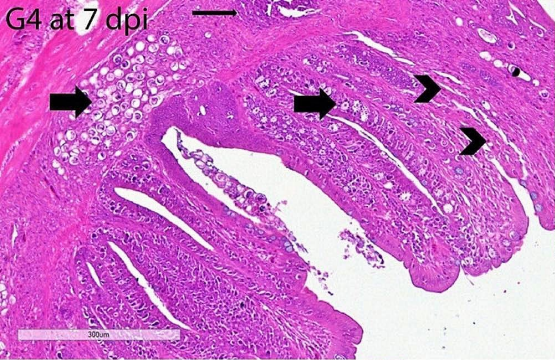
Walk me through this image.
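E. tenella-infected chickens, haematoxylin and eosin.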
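This cecal mucosa shows elongated crypts and folds lined by columnar epithelium, many of which contain numerous round, clear bodies with central dark dots. These round bodies are packed in clusters, most densely in a group near the base of the mucosa at upper left. Between the crypts, the lamina propria is filled with cells with purple nuclei. The muscular wall is seen as pink fibres along the outer edge at left and top. The lumen is open and contains a few detached fragments.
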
